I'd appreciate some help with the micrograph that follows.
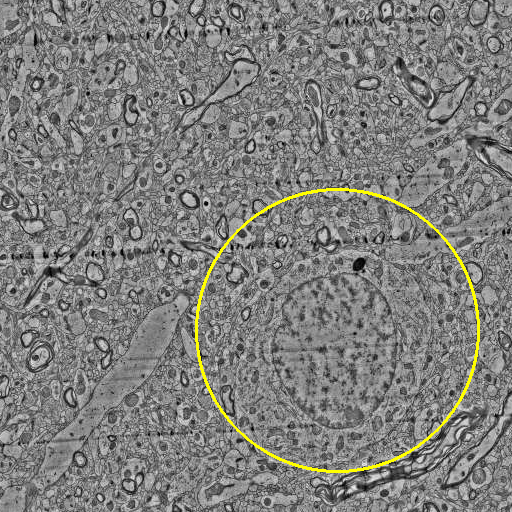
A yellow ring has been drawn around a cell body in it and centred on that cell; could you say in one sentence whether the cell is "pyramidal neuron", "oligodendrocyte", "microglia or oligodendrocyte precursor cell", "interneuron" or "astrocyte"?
It is an interneuron at the centre of the ring.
